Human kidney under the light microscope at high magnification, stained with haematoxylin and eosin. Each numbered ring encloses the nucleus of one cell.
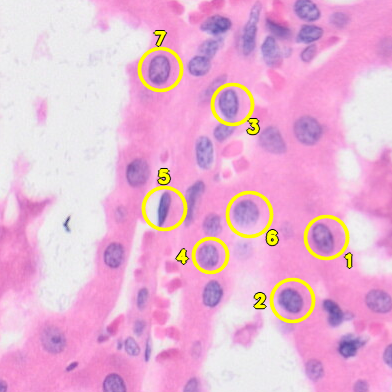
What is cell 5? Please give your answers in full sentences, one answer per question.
The cell pointed out by number 5 is an endothelial cell.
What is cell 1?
The cell that bears the number 1 is a proximal tubule cell.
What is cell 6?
Regarding cell 6, this one is a loop of Henle or distal tubule cell.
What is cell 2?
The cell assigned the number 2 is a loop of Henle or distal tubule cell.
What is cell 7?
The cell indicated by marker 7 is a proximal tubule cell in this section.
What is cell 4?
The nucleus labeled 4 belongs to a loop of Henle or distal tubule cell.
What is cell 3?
The cell that goes by number 3 is a collecting duct cell.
